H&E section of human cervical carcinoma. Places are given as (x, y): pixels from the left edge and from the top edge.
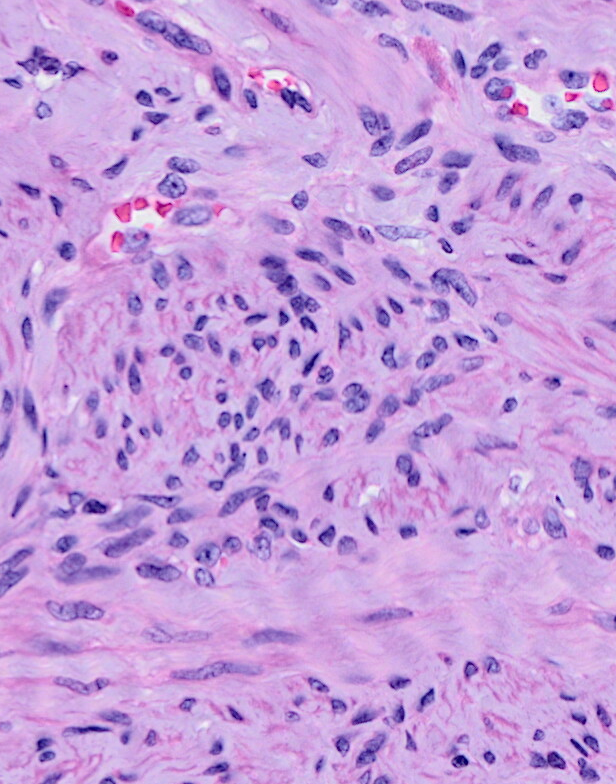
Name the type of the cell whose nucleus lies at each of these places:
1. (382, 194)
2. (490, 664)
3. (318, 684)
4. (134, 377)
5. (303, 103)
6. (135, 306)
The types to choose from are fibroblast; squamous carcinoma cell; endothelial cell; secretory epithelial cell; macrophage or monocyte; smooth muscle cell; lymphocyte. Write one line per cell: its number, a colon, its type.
1: fibroblast
2: smooth muscle cell
3: smooth muscle cell
4: smooth muscle cell
5: endothelial cell
6: smooth muscle cell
